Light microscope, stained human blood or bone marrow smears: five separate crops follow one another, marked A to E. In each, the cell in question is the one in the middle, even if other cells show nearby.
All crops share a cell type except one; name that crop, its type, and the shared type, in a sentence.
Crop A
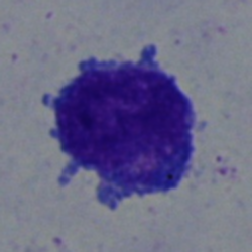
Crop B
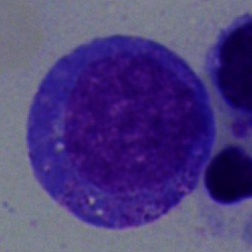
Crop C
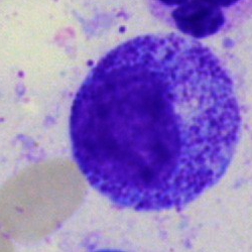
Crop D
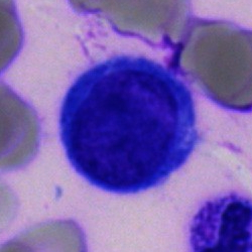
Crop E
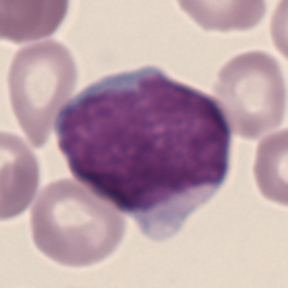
Of the crops, all show blasts save crop C, which shows a myelocyte.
